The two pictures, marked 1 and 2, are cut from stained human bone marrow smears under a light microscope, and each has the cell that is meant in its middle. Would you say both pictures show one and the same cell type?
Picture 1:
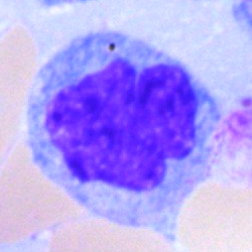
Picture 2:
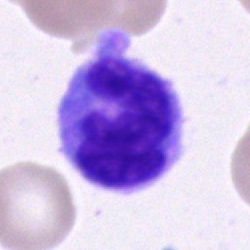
yes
